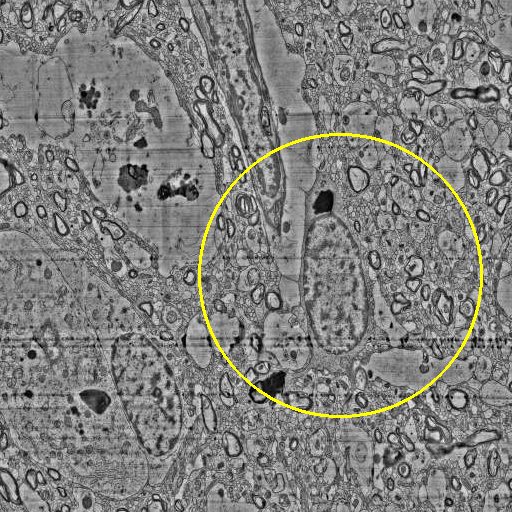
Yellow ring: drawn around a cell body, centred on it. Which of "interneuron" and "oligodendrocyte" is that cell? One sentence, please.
That cell body is from an oligodendrocyte.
